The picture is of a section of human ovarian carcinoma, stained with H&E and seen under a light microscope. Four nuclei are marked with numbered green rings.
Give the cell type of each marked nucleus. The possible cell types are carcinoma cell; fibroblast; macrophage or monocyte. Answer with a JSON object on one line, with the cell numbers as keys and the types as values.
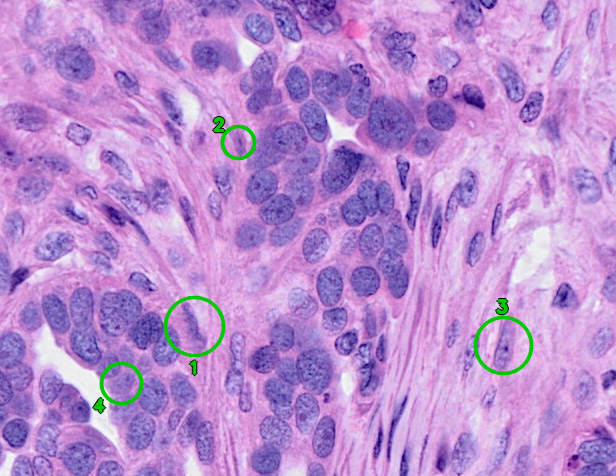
{"1": "fibroblast", "2": "fibroblast", "3": "fibroblast", "4": "carcinoma cell"}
